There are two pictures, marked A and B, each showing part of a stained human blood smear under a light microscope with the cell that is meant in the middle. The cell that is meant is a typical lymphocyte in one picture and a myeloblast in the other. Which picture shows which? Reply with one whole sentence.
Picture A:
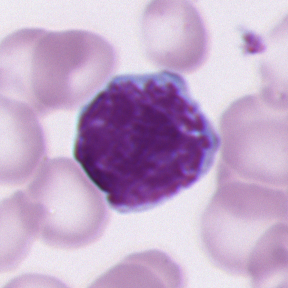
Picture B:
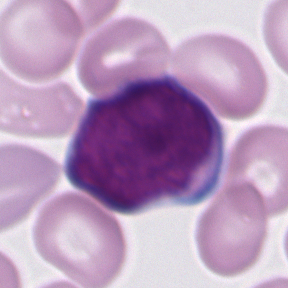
Picture B shows a myeloblast, while picture A shows a typical lymphocyte.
